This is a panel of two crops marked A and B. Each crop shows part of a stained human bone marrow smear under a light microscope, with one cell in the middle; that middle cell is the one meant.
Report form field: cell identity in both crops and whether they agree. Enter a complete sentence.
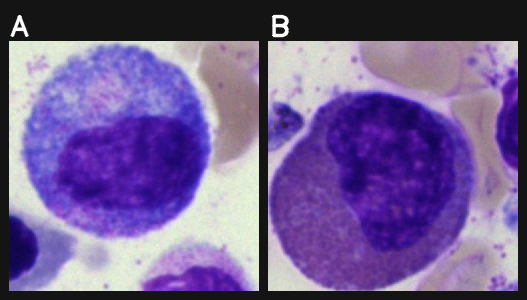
No, crop A shows a promyelocyte, whereas in crop B the cell is an eosinophil.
